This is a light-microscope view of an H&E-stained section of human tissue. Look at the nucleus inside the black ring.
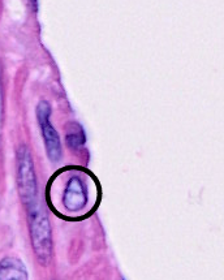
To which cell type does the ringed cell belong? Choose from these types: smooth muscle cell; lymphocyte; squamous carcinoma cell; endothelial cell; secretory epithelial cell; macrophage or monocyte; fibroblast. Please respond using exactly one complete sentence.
In the stained section, the ringed cell is an endothelial cell.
